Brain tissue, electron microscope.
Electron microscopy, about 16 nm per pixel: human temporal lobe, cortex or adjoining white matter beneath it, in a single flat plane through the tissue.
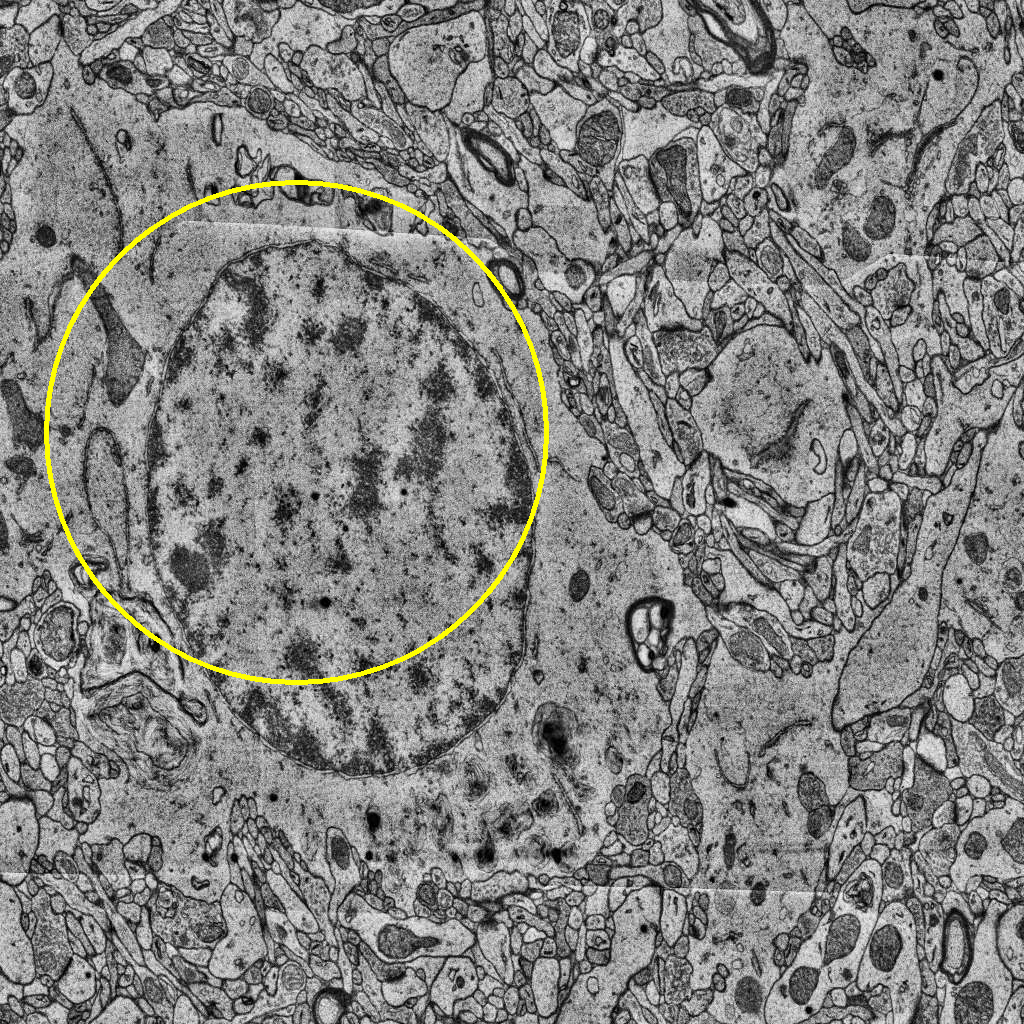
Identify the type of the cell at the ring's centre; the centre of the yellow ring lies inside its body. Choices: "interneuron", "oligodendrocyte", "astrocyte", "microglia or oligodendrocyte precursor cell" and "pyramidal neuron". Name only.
astrocyte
